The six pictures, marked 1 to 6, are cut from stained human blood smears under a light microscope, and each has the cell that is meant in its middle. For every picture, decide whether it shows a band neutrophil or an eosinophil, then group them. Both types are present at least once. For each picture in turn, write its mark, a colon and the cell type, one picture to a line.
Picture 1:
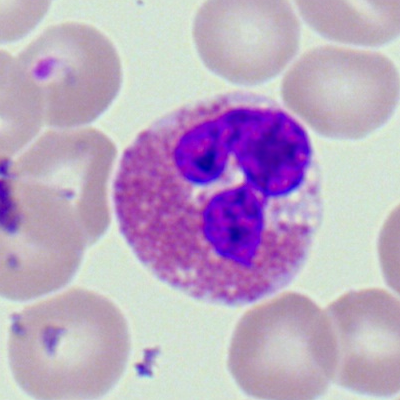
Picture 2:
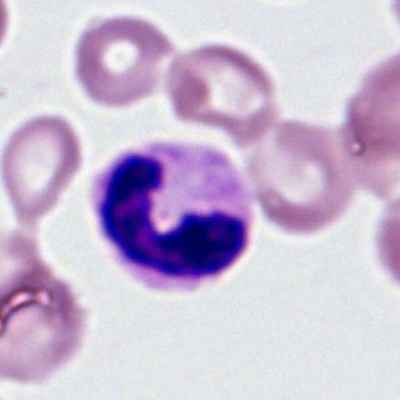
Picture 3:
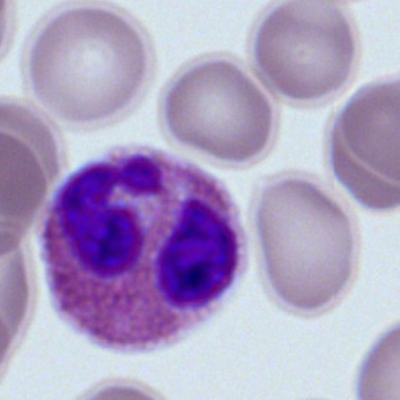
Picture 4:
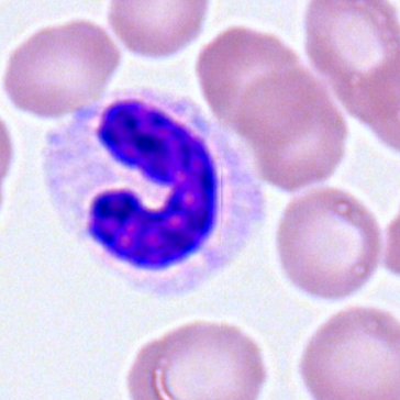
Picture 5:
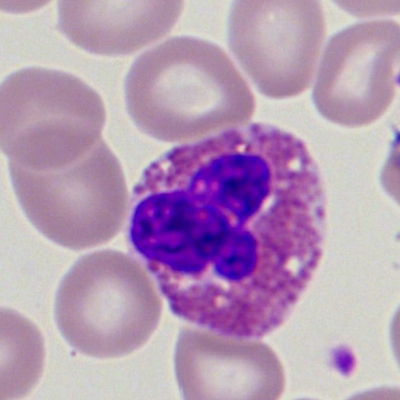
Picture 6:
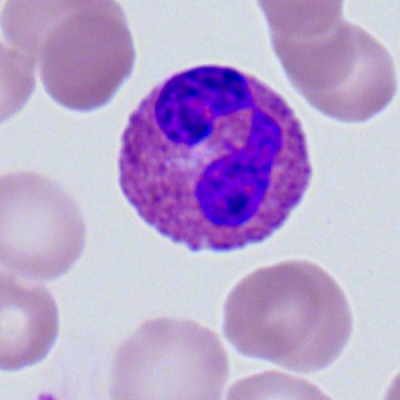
1: eosinophil
2: band neutrophil
3: eosinophil
4: band neutrophil
5: eosinophil
6: eosinophil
